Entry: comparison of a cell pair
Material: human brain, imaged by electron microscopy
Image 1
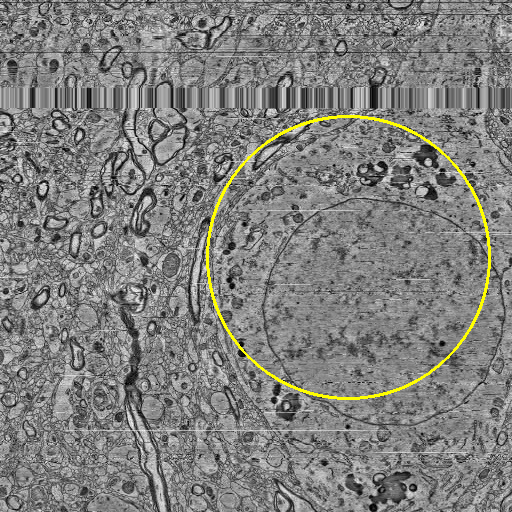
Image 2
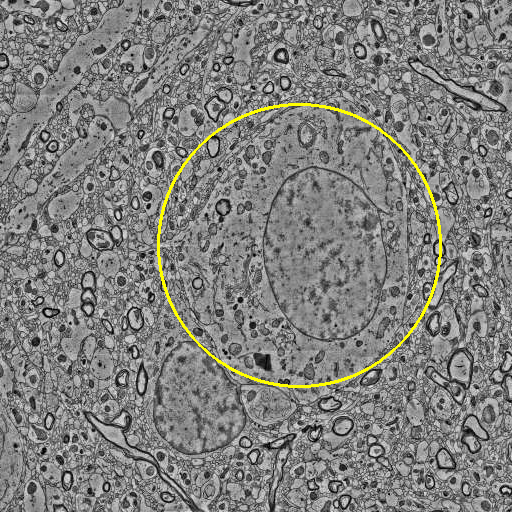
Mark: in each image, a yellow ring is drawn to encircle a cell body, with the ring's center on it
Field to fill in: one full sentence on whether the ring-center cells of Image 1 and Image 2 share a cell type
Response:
Yes, Image 1 and Image 2 each show a ring-center cell of one shared type.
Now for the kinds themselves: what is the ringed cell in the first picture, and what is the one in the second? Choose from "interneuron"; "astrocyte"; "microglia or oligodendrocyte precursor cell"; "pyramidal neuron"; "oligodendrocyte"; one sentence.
The ring centre holds a pyramidal neuron in each of the two pictures.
